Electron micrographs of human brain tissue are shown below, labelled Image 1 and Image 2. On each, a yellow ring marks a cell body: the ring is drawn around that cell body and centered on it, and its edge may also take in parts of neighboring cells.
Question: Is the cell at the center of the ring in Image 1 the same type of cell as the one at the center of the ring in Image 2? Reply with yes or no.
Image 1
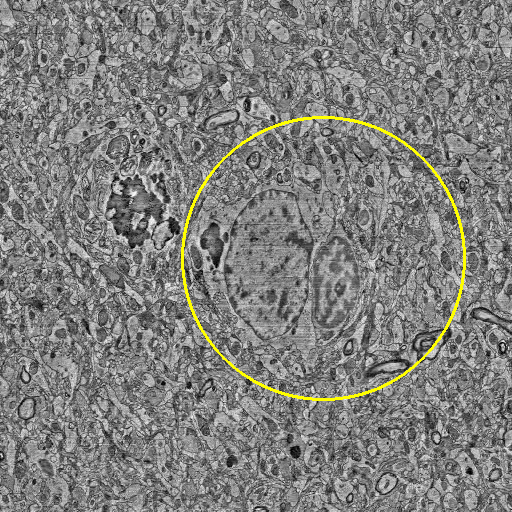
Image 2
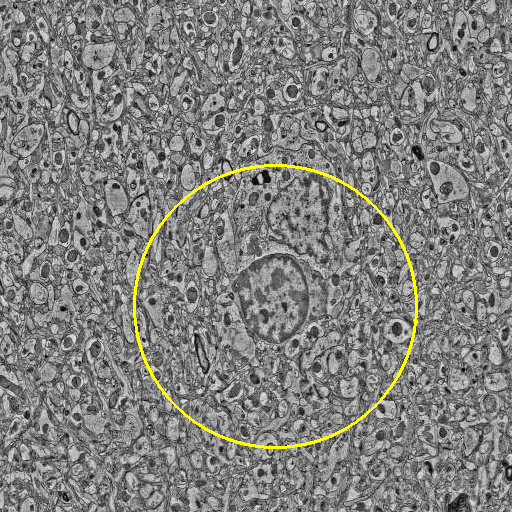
yes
